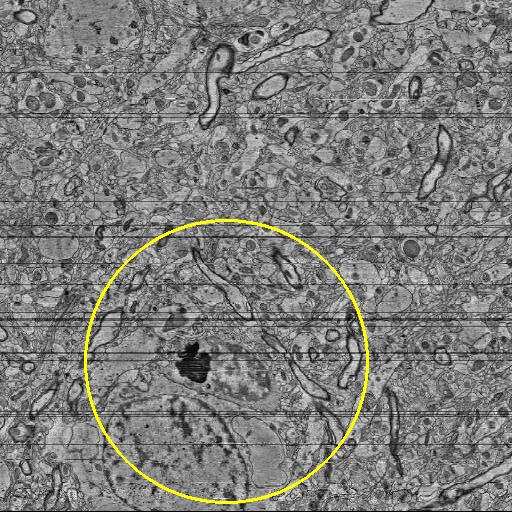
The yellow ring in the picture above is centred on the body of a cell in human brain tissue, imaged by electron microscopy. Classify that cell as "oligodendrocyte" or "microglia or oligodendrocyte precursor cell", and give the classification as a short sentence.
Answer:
The cell in the middle of the ring is an oligodendrocyte.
